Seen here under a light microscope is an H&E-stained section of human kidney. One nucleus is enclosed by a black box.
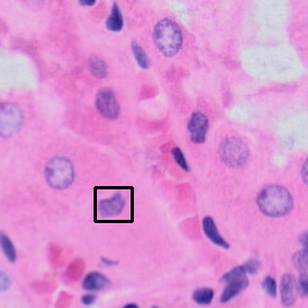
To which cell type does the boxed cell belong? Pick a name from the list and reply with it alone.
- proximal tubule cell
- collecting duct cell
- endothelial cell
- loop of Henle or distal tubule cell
proximal tubule cell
